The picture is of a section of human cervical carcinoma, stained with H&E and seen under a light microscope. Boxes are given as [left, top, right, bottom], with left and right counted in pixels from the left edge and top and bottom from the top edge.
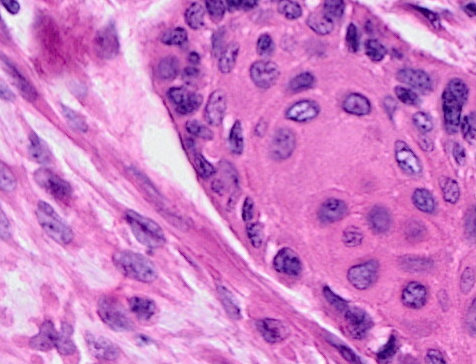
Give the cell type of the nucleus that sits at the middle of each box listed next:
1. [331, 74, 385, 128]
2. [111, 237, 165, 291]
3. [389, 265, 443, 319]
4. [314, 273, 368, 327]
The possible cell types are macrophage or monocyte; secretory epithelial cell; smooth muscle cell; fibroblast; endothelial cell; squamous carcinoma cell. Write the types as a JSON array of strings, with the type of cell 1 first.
["squamous carcinoma cell", "fibroblast", "squamous carcinoma cell", "squamous carcinoma cell"]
